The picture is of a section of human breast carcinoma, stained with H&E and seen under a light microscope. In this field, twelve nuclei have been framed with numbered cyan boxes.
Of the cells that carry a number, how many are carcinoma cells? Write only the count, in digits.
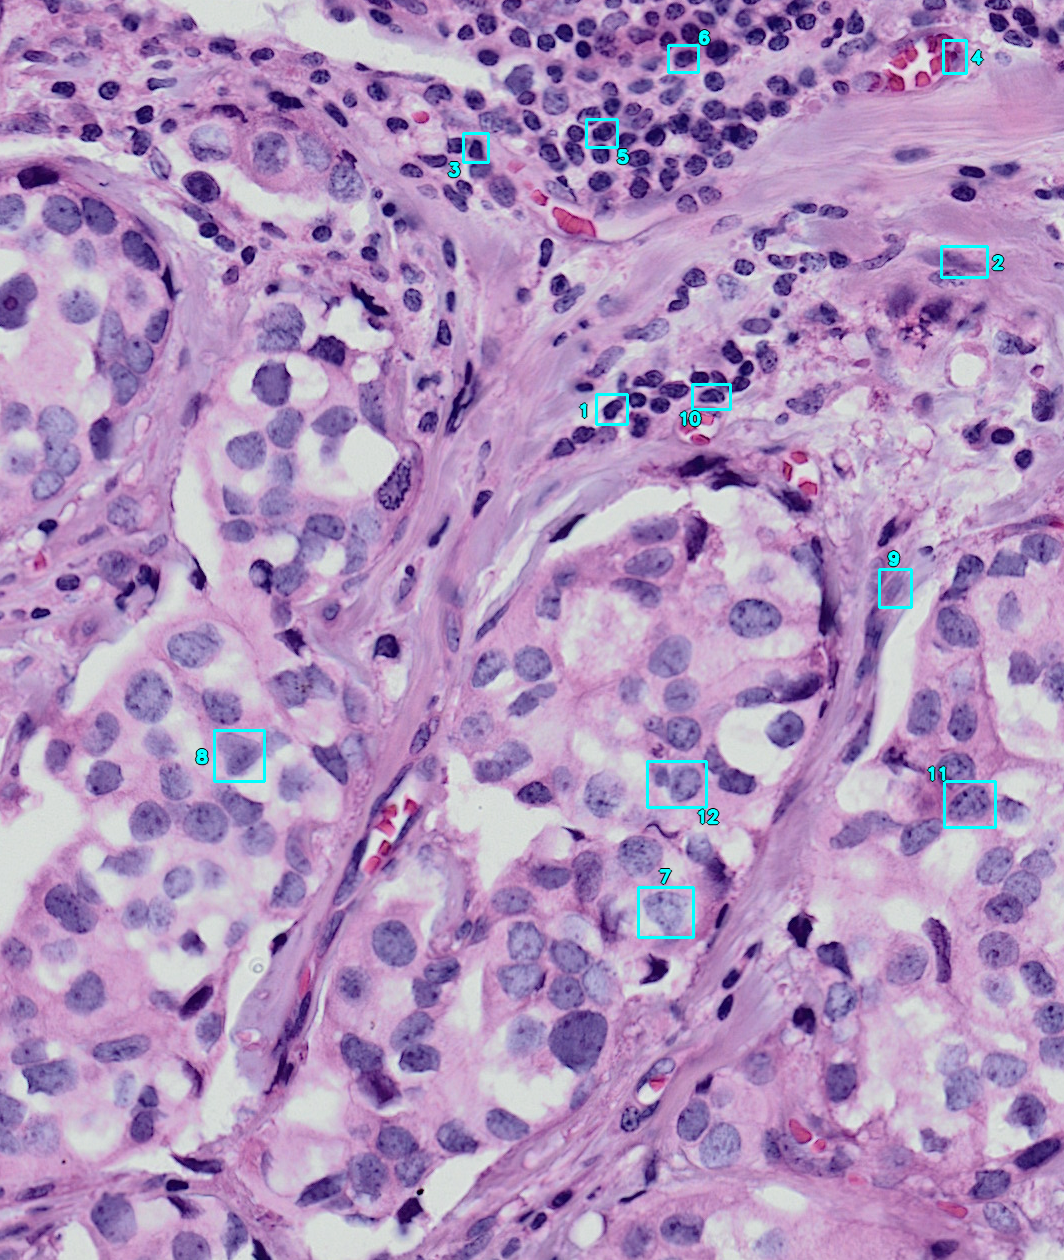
4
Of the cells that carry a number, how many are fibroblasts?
1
